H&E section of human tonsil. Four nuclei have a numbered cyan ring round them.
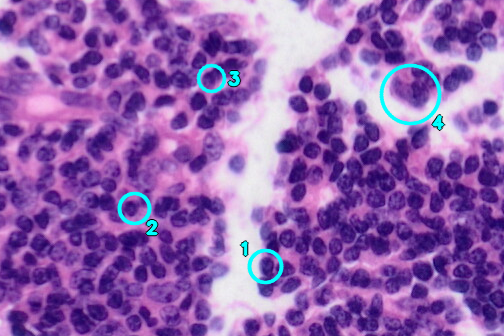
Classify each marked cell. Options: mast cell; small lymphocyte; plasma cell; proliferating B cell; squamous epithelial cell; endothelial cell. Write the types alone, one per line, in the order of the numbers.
small lymphocyte
small lymphocyte
small lymphocyte
proliferating B cell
